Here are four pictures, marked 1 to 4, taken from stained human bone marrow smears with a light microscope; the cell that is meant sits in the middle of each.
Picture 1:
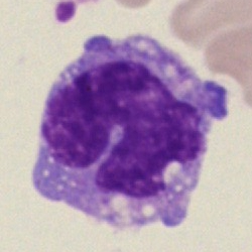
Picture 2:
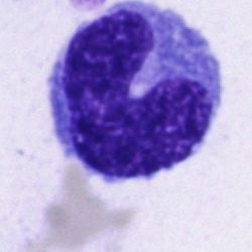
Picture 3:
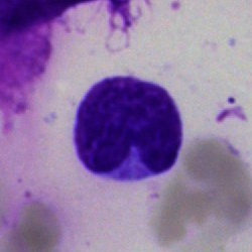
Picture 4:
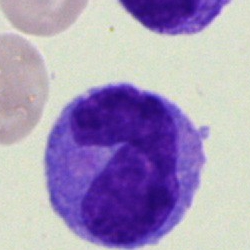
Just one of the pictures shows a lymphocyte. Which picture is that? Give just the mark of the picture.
3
